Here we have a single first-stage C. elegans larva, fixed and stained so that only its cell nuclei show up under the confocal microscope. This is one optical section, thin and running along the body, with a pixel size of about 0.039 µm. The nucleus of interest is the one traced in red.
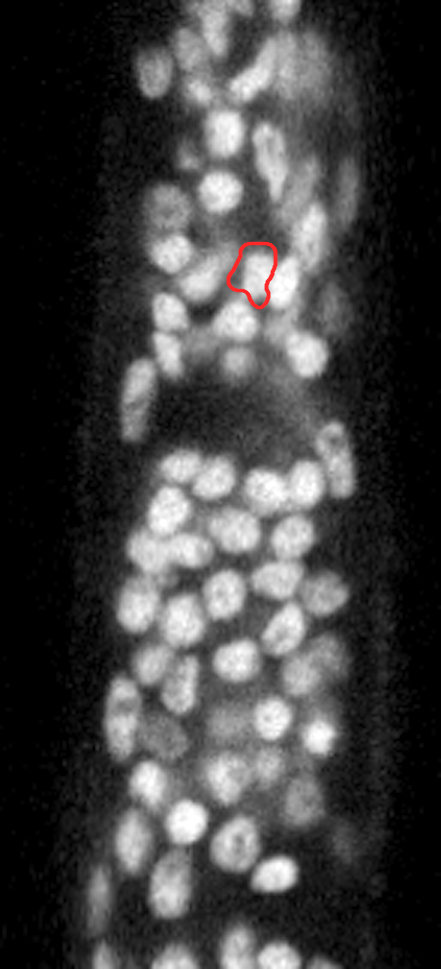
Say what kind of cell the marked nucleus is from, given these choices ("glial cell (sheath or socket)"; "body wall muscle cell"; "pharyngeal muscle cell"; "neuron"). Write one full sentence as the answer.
This nucleus is from a neuron.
